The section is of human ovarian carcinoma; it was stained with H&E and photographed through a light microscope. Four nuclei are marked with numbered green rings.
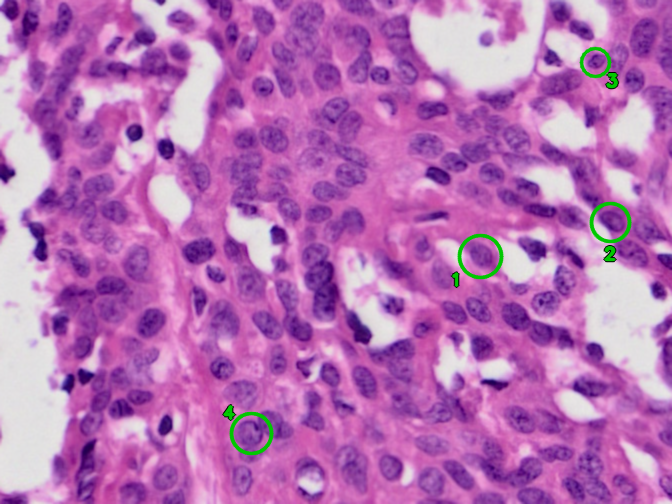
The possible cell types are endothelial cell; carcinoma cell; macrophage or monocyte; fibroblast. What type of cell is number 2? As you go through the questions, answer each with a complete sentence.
Belonging to a carcinoma cell is the nucleus that carries the number 2.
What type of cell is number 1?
The identity of cell 1 is that of a carcinoma cell.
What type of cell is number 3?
Cell 3 should be recorded as a macrophage or monocyte.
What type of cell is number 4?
Corresponding to a carcinoma cell is the cell labelled 4.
